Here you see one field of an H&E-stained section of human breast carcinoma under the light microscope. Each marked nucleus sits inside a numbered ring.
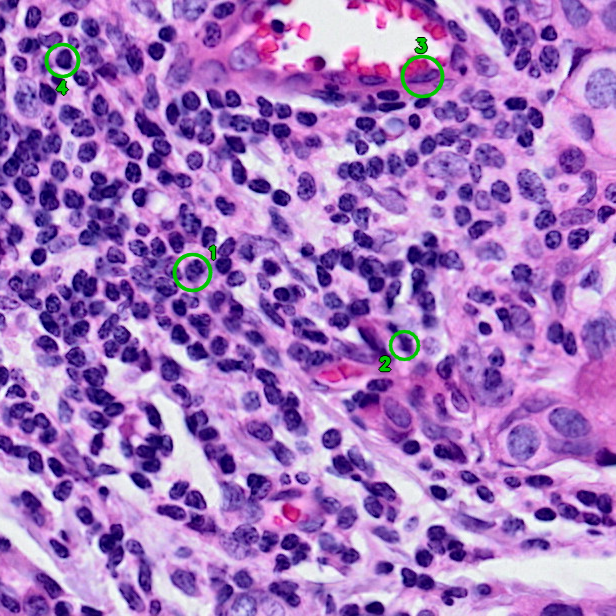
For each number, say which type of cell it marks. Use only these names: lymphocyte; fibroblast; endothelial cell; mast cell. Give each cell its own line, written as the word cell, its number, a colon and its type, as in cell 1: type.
cell 1: lymphocyte
cell 2: lymphocyte
cell 3: endothelial cell
cell 4: lymphocyte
